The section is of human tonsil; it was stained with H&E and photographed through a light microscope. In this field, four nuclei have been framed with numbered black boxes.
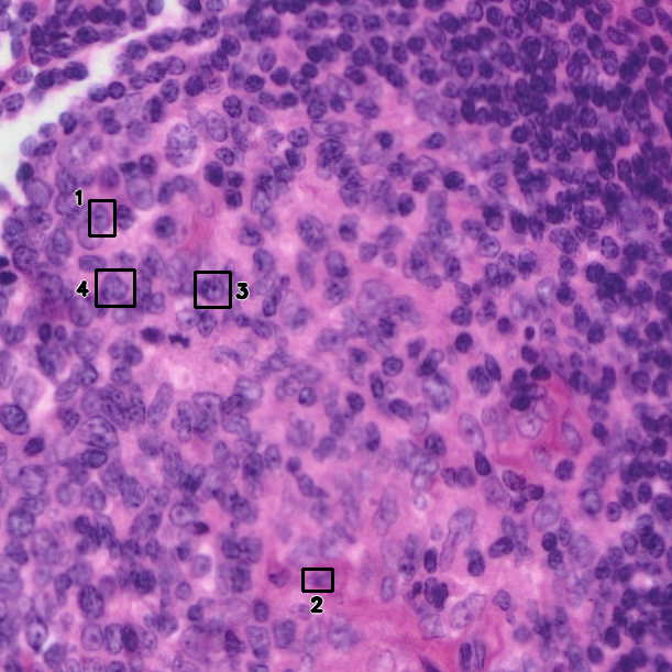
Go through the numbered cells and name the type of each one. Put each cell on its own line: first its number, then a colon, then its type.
1: proliferating B cell
2: endothelial cell
3: proliferating B cell
4: proliferating B cell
